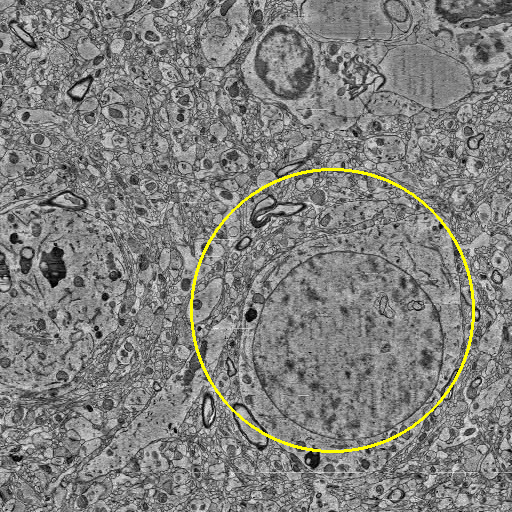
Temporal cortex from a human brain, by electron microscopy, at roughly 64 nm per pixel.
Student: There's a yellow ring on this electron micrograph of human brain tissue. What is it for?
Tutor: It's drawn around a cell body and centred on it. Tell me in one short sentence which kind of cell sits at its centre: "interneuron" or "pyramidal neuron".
The cell at the centre of the ring is a pyramidal neuron.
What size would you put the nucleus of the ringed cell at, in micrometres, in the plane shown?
In this plane the ringed cell's nucleus is roughly 12 micrometres across.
